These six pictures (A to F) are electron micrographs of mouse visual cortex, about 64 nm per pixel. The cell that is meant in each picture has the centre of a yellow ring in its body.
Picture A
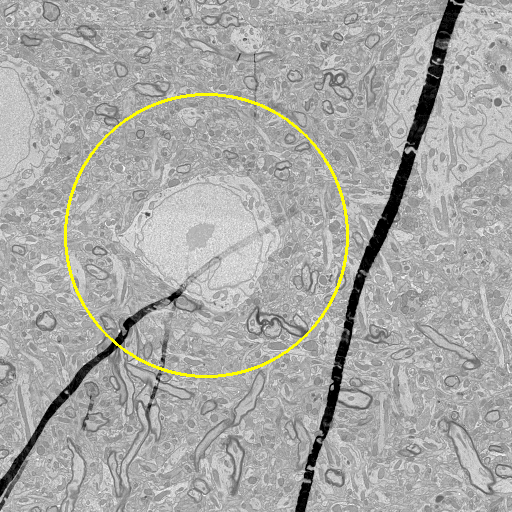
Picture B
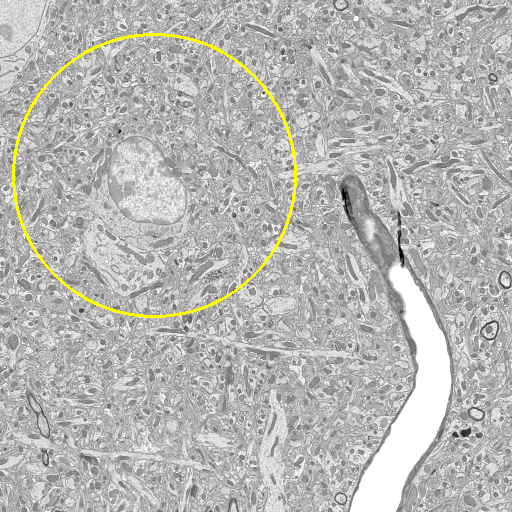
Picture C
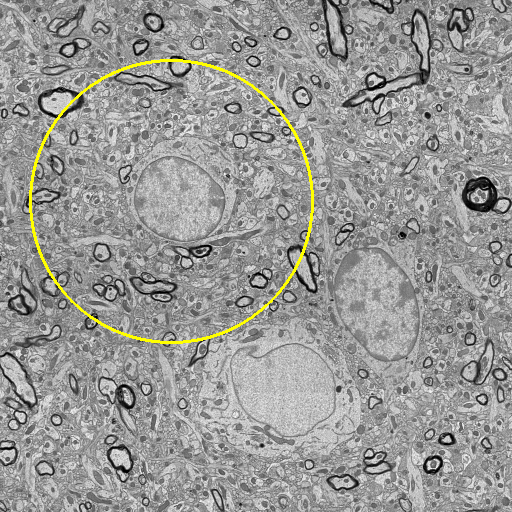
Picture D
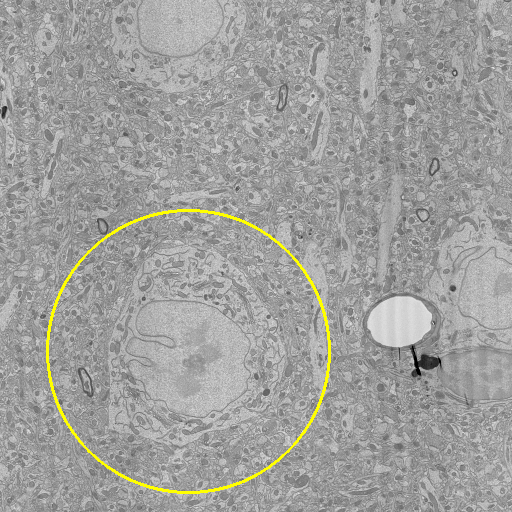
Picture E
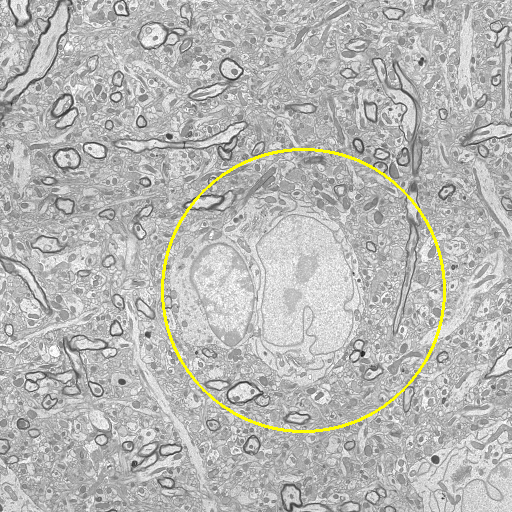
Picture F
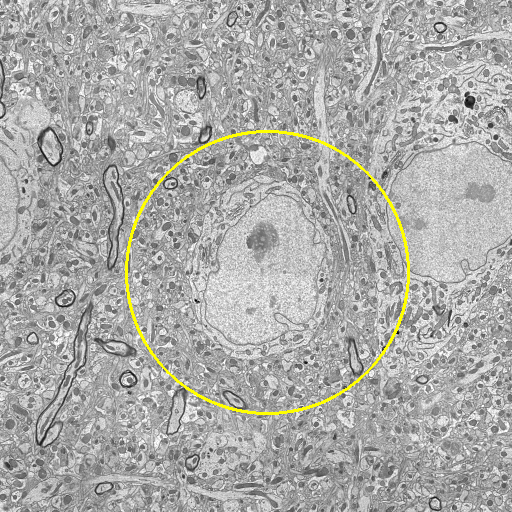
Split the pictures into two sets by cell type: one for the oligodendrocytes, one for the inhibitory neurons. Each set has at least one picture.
Pictures B and C show oligodendrocytes, while pictures A, D, E and F show inhibitory neurons.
